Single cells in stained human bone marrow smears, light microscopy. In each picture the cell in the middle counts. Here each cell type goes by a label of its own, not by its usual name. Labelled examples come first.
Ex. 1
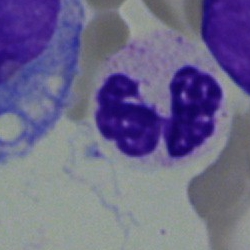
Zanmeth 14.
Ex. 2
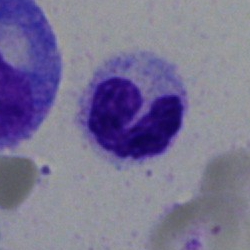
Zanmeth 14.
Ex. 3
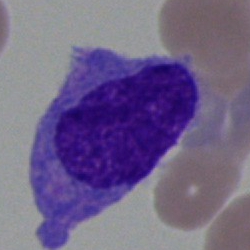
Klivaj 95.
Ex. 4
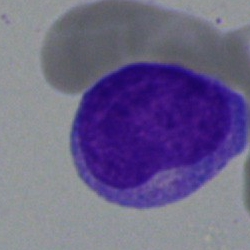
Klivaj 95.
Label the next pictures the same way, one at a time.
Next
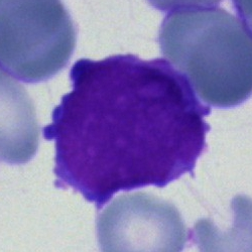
Klivaj 95.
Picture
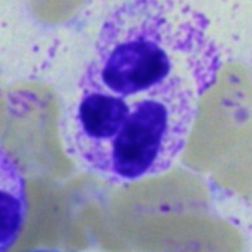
Zanmeth 14.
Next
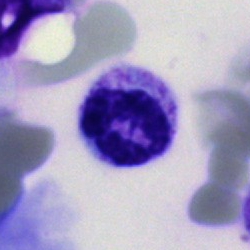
Zanmeth 14.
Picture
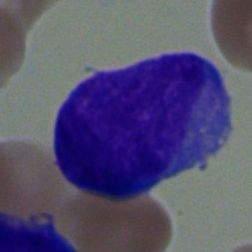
Klivaj 95.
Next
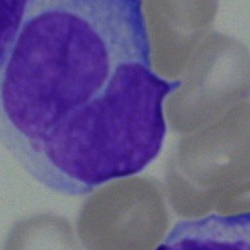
Klivaj 95.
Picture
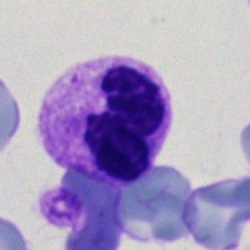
Zanmeth 14.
